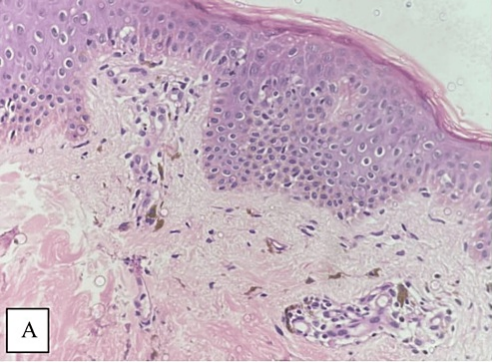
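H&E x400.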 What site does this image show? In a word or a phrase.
epidermis-dermis junction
